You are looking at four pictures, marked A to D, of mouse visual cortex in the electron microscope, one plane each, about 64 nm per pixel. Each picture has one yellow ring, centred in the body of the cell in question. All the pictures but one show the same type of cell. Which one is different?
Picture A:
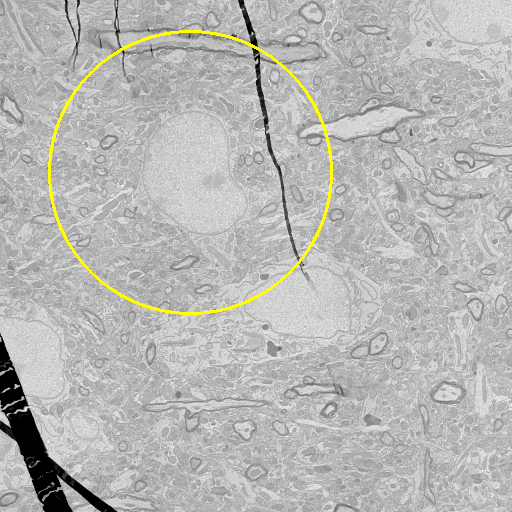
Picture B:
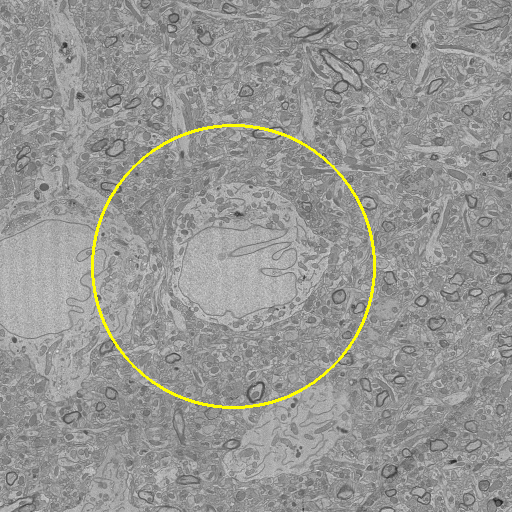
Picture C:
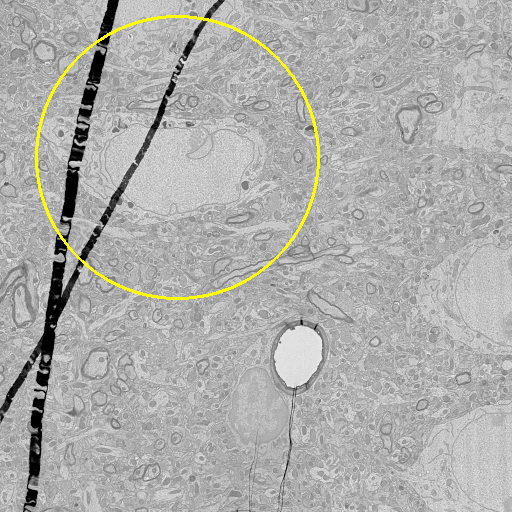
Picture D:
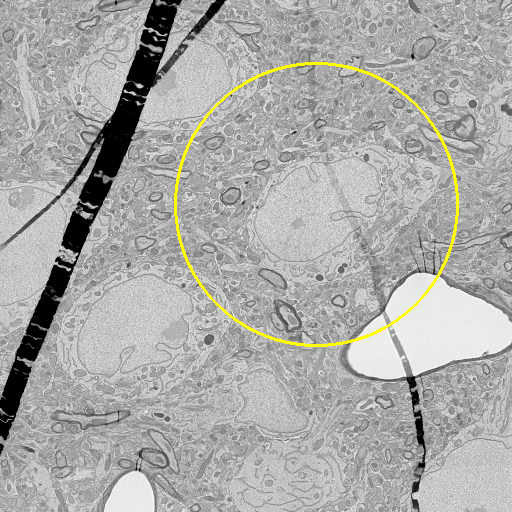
Picture A is the odd one out: it shows an astrocyte, while the others show inhibitory neurons.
